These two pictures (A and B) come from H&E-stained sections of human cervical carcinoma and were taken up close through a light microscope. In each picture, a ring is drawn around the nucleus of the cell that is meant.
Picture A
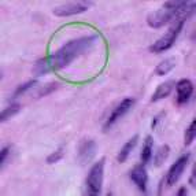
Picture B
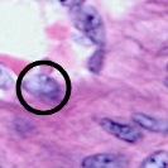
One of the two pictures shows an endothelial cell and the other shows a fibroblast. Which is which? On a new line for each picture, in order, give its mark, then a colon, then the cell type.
A: fibroblast
B: endothelial cell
